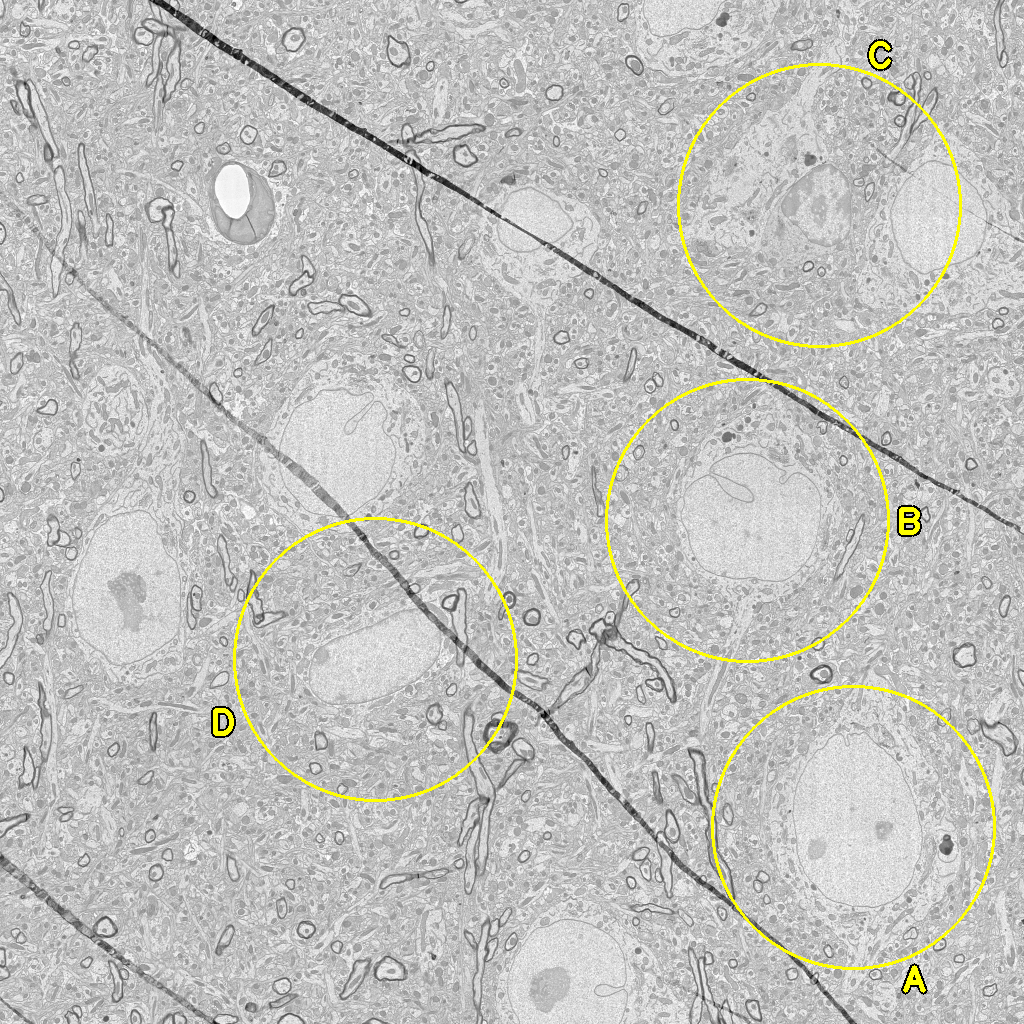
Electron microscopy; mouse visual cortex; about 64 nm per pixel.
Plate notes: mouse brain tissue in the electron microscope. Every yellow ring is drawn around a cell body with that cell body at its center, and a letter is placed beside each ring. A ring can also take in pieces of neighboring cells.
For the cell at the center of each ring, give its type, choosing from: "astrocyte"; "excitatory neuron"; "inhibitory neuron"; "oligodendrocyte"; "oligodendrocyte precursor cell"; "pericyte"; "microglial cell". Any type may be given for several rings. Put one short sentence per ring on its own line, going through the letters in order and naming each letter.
Ring A shows an excitatory neuron at the center.
Ring B shows an excitatory neuron at the center.
Ring C shows an oligodendrocyte at the center.
Ring D shows an astrocyte at the center.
